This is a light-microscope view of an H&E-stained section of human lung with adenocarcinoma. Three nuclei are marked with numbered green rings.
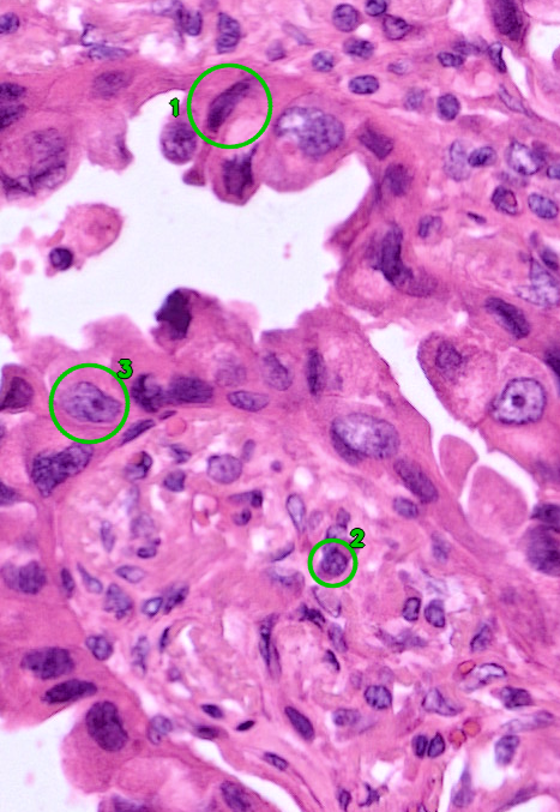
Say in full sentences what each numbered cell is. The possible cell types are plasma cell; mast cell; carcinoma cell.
Cells 1 and 3 are carcinoma cells. Cell 2 is a plasma cell.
